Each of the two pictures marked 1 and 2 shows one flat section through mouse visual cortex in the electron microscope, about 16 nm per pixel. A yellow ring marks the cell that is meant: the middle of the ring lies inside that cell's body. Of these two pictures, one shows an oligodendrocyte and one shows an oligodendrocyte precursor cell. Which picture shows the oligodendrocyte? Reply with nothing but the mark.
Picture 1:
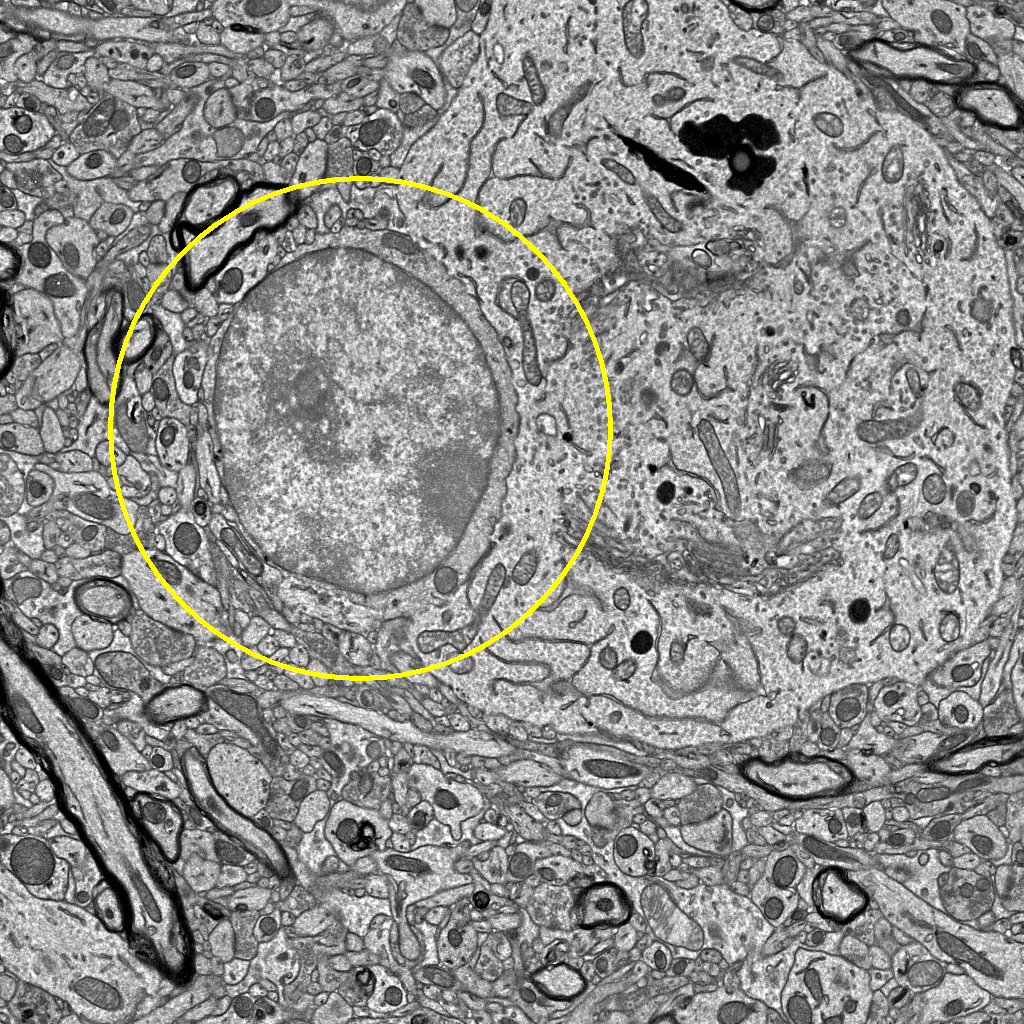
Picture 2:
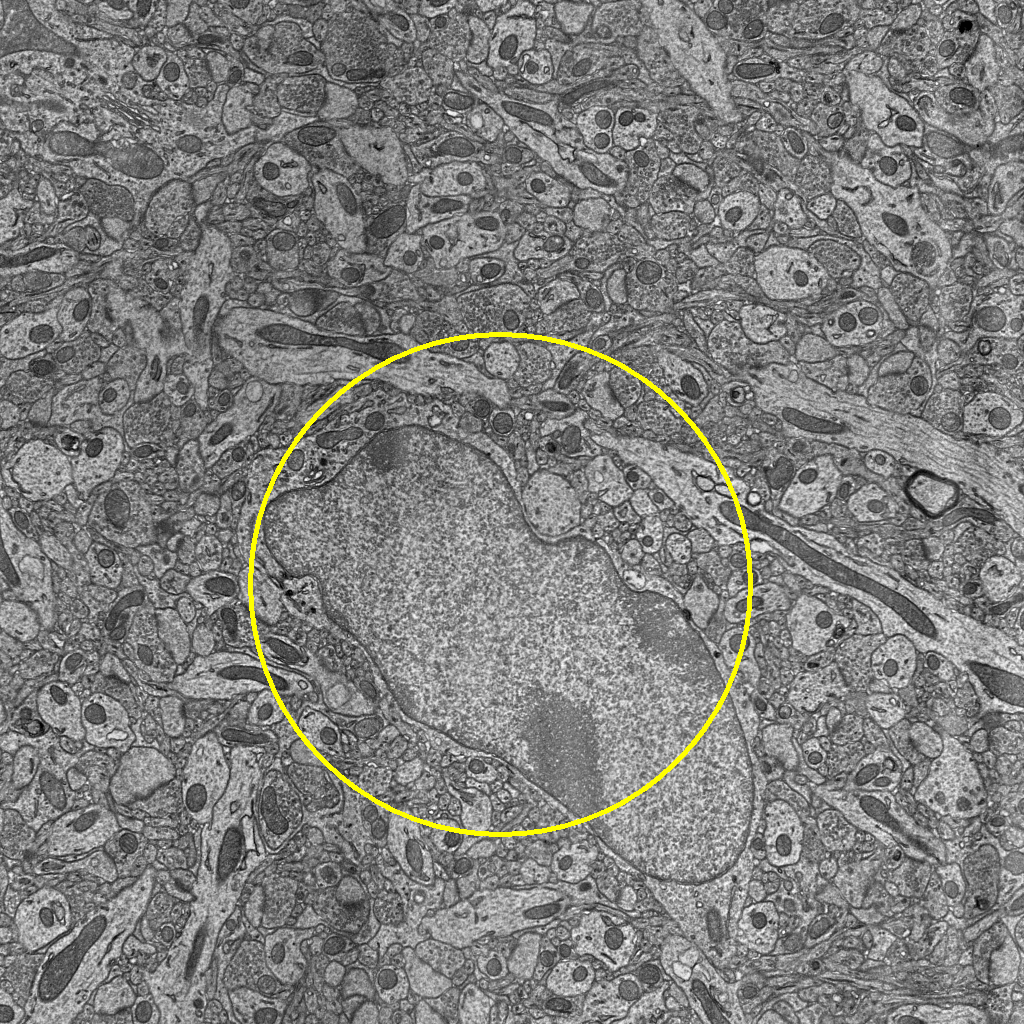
1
